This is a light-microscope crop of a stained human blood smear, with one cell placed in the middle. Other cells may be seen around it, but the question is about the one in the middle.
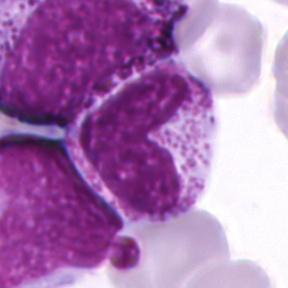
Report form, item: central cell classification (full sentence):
The cell sitting right in the middle is a band neutrophil.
